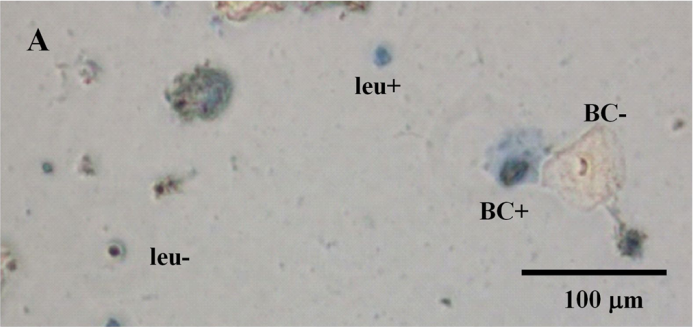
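The largest cell on the right is a flat, polygonal buccal epithelial cell with pale, faintly tan cytoplasm and a small central nucleus, while next to it lies a smaller, similar cell filled with blue stain. Much smaller round cells are spread about, some pale with a dark dot of nucleus and some tinted blue.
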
